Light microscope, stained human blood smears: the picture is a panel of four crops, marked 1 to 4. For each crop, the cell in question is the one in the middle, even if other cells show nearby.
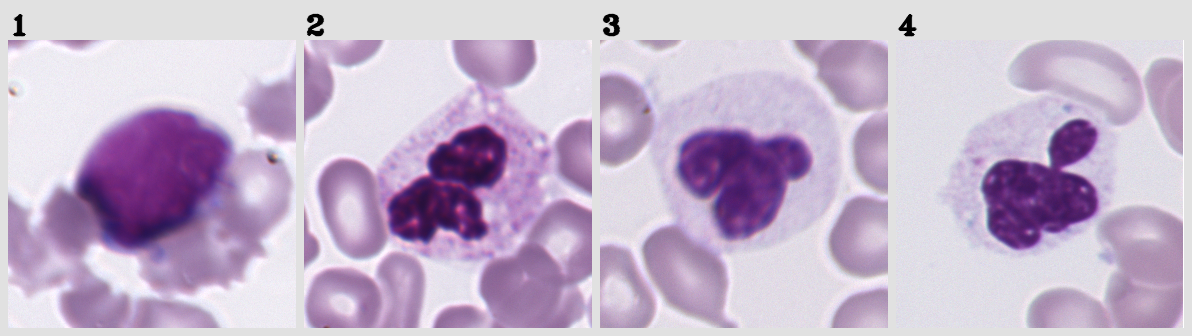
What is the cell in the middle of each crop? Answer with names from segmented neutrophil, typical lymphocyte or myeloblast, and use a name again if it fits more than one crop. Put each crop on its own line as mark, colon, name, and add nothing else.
1: myeloblast
2: segmented neutrophil
3: segmented neutrophil
4: segmented neutrophil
